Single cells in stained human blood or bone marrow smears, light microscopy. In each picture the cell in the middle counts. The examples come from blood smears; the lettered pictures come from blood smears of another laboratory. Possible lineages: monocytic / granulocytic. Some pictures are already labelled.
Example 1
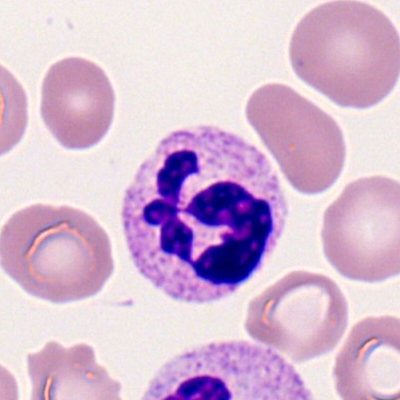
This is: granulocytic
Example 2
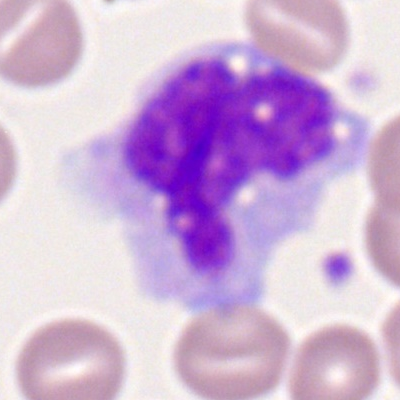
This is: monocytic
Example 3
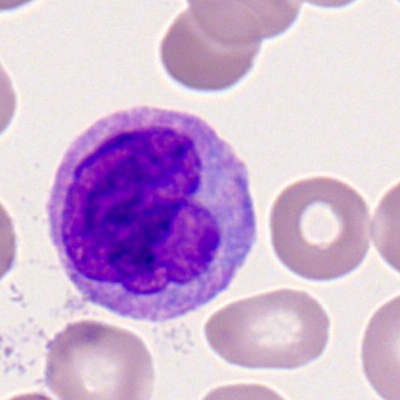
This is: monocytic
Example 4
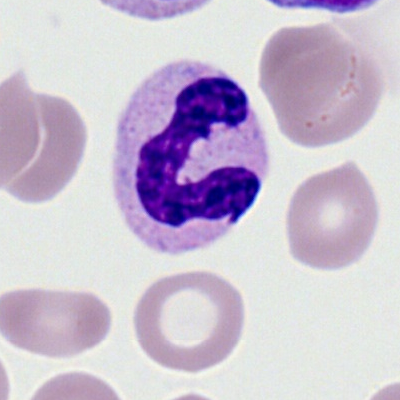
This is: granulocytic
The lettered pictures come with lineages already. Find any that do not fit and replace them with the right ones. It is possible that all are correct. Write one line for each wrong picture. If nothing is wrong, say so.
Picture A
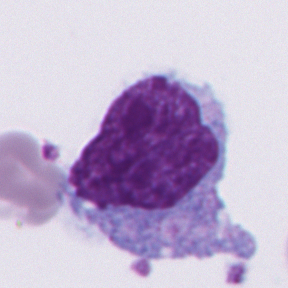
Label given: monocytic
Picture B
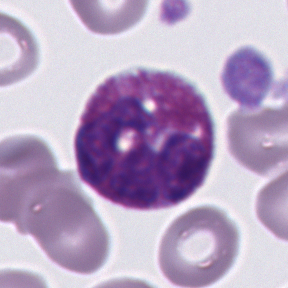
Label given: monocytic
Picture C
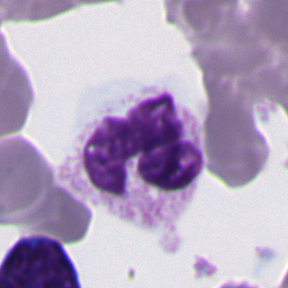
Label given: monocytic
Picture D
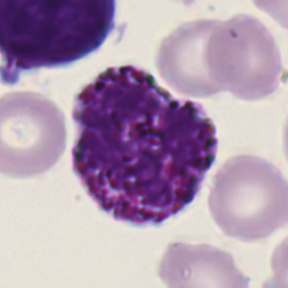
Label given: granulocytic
B: granulocytic, not monocytic
C: granulocytic, not monocytic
